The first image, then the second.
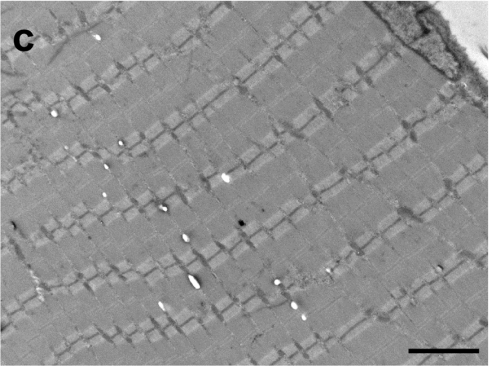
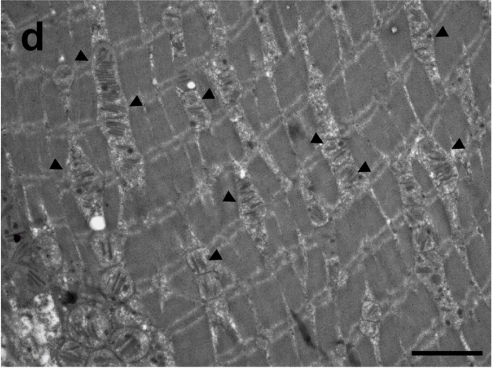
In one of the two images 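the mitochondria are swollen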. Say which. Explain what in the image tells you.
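First image: no such enlarged organelles; only narrow, regular gaps between aligned bands. So: the second image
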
